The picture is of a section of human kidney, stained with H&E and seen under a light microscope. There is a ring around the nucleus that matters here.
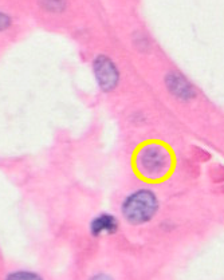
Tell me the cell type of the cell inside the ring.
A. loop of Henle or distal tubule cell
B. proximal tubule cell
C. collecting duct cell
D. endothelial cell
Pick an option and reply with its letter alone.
A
